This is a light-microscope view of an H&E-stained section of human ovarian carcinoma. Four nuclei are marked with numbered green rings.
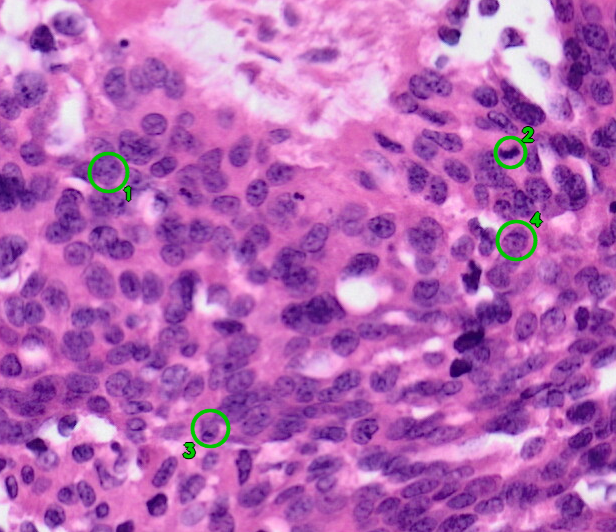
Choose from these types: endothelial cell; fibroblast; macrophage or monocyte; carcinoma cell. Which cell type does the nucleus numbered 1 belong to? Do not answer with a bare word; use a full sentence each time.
Identified by the number 1, the cell is a carcinoma cell.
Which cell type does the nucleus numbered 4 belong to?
In this section, the cell numbered 4 is a carcinoma cell.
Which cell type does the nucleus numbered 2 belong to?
It is as a carcinoma cell that the cell numbered 2 is identified.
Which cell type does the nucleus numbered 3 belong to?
The cell that is numbered 3 is a macrophage or monocyte.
